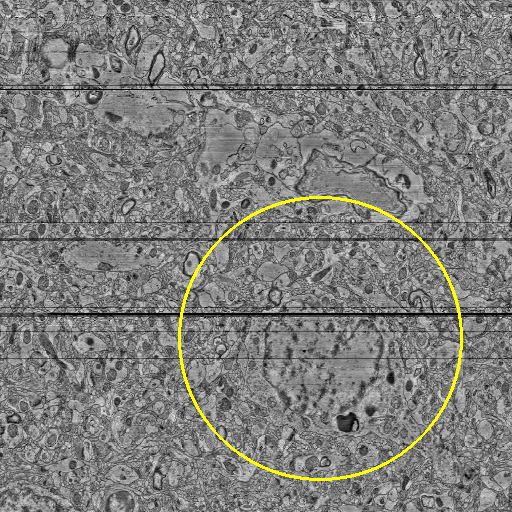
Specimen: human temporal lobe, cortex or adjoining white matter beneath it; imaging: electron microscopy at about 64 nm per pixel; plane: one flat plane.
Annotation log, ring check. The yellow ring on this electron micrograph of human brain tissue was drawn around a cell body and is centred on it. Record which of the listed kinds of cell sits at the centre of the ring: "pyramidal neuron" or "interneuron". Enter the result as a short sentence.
The cell at the centre of the ring is an interneuron.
